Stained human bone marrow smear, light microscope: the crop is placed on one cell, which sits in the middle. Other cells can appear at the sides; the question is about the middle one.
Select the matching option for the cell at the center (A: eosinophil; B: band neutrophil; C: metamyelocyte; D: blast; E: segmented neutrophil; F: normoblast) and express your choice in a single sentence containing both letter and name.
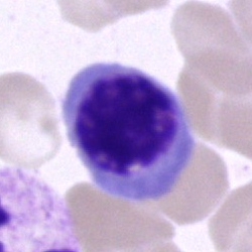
That the central cell is a normoblast makes option F correct.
